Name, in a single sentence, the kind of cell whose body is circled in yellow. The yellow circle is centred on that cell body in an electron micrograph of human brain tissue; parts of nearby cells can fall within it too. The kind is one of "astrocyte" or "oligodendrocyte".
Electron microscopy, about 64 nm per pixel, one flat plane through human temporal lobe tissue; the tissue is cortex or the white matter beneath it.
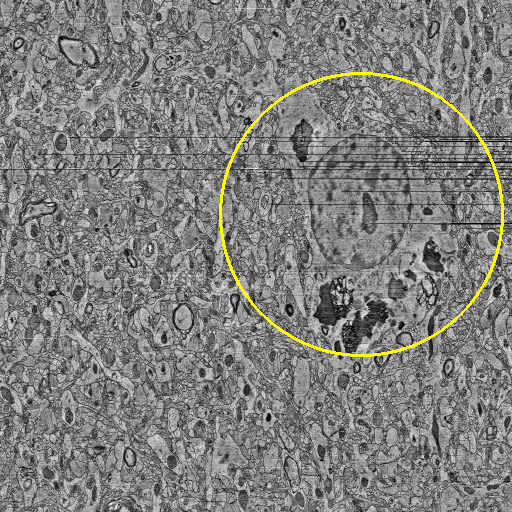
The circled cell body belongs to an astrocyte.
